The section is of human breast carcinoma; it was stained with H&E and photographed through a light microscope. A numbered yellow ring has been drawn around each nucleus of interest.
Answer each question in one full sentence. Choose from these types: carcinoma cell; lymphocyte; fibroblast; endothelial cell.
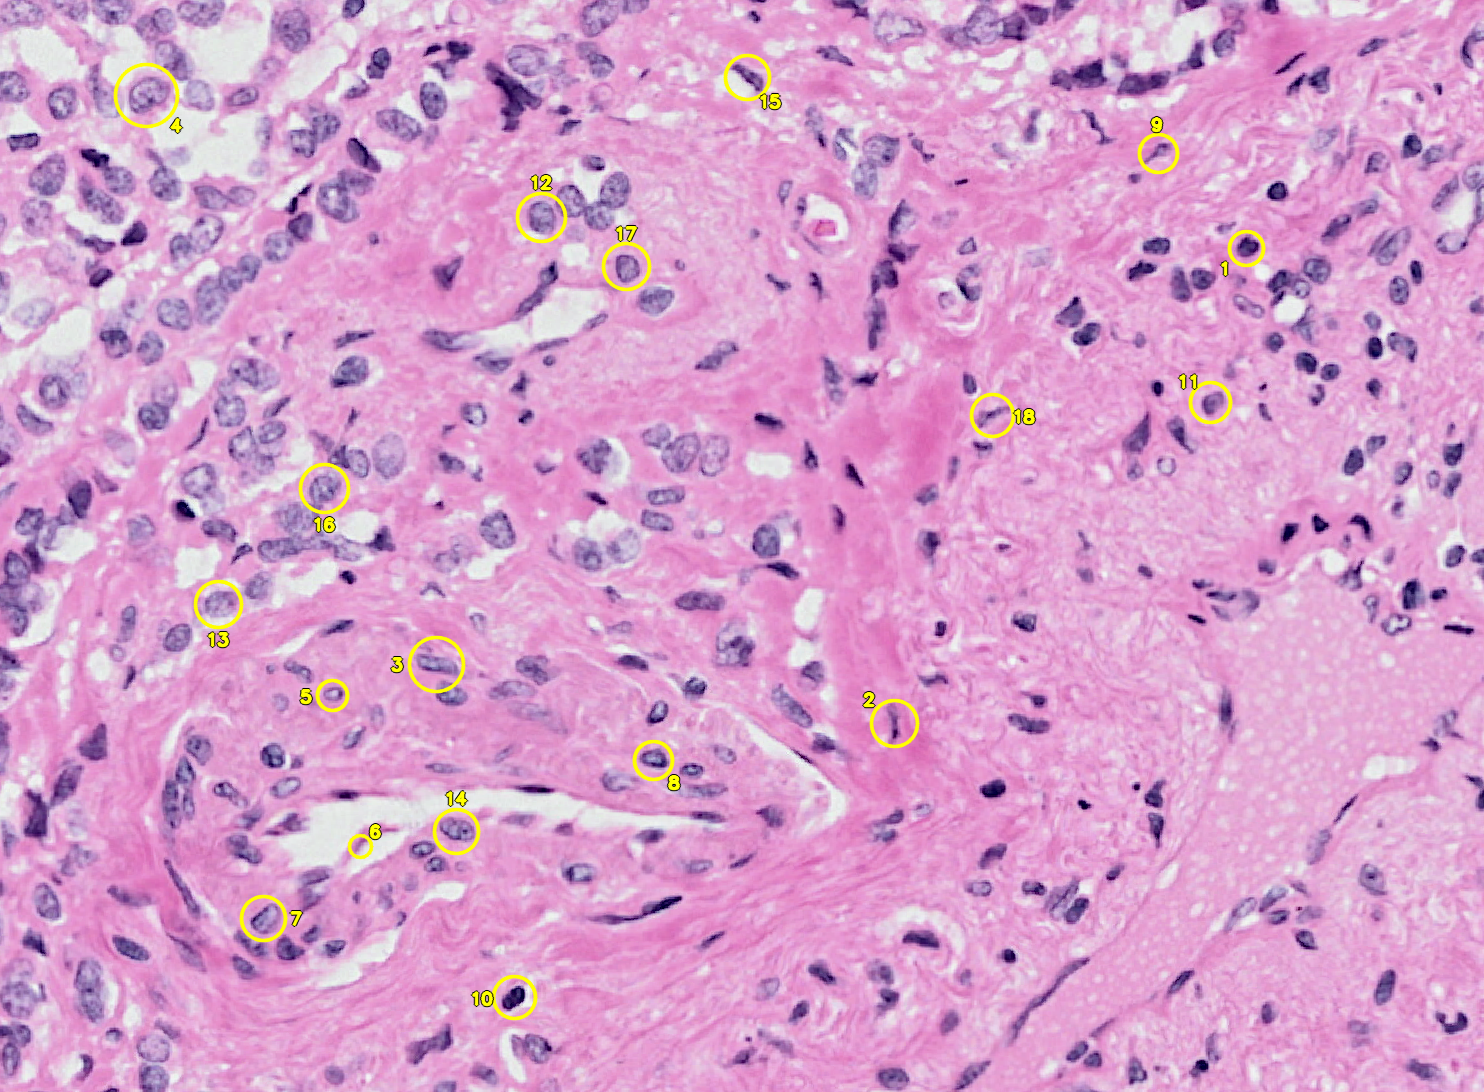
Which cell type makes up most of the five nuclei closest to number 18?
Of the five nuclei nearest to number 18, most belong to lymphocytes.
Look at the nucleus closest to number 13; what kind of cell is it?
It is a carcinoma cell whose nucleus is nearest to number 13.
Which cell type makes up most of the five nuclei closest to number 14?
Endothelial cells account for more than half of the five nuclei nearest to number 14.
